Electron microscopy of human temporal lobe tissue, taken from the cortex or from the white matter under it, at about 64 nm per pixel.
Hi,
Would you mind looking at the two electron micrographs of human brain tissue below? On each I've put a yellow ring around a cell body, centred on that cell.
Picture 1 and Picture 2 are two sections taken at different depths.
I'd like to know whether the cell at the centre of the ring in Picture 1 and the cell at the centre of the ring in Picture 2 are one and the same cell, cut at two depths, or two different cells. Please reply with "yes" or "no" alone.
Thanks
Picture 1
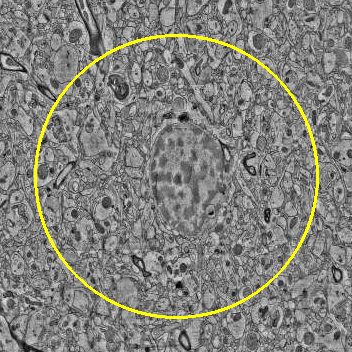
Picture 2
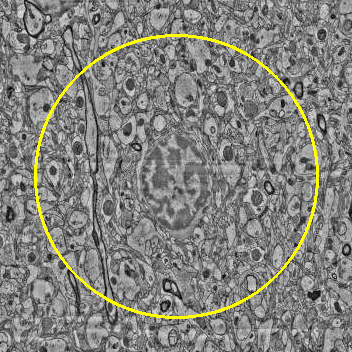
yes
